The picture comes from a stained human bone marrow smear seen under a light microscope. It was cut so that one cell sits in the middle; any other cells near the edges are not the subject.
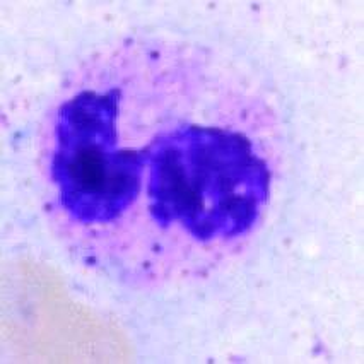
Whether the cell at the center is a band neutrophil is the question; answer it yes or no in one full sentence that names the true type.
No, it is not a band neutrophil that sits at the centre but a segmented neutrophil.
